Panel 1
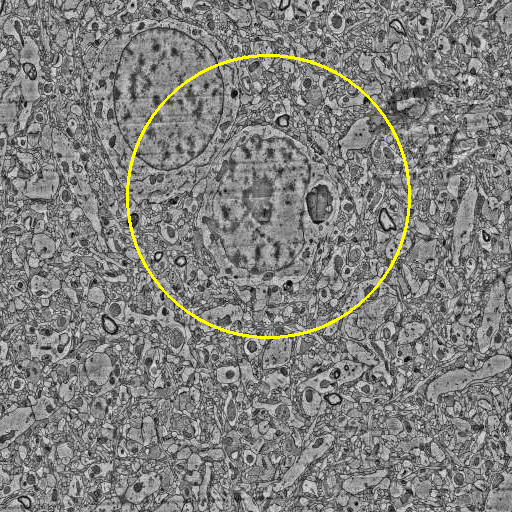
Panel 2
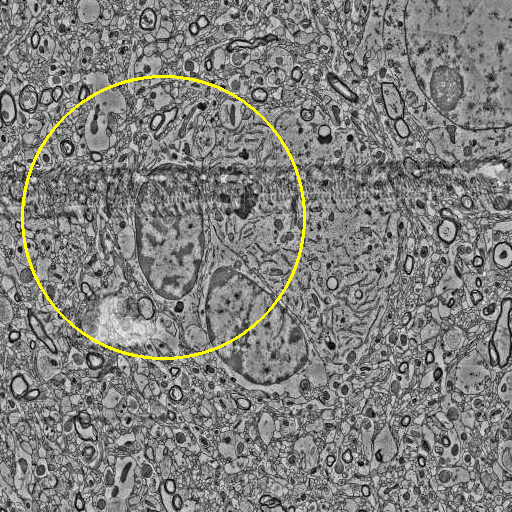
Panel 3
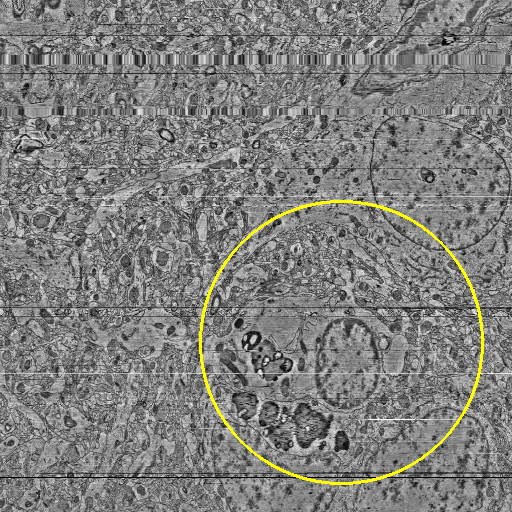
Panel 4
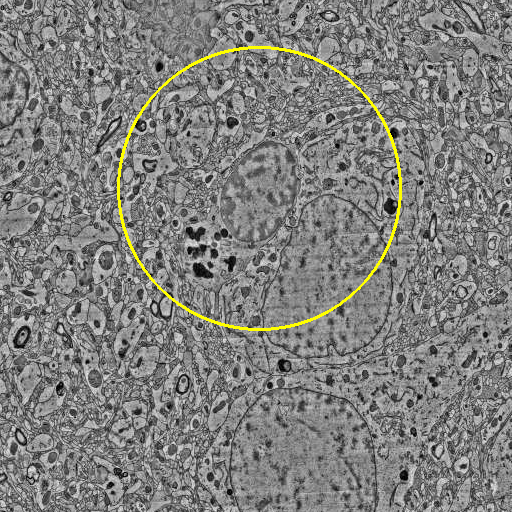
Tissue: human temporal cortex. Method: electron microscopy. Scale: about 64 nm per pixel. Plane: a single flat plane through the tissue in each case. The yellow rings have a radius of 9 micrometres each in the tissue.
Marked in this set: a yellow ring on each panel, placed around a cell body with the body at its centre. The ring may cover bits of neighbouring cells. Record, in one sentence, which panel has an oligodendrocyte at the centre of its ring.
Panel 4 has it at the centre of its ring.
